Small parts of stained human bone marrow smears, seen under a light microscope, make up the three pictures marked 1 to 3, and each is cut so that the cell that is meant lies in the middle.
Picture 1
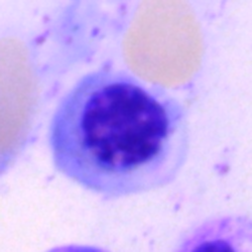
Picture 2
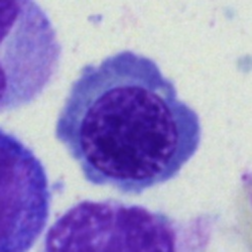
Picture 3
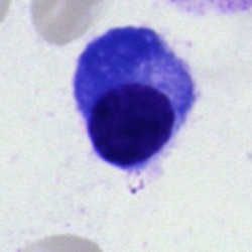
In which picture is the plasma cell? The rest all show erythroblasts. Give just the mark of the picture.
3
